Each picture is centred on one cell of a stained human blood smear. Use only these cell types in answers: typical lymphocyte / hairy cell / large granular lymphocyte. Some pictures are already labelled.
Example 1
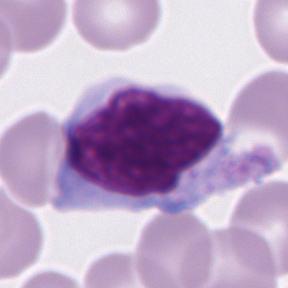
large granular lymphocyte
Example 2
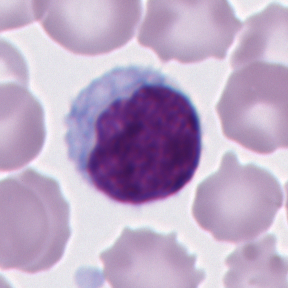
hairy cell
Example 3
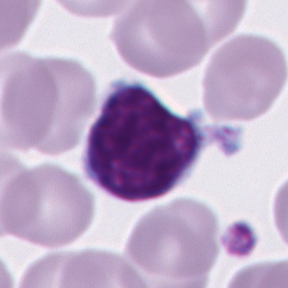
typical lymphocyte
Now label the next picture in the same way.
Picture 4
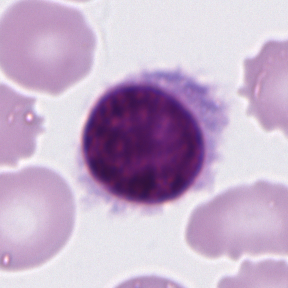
hairy cell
